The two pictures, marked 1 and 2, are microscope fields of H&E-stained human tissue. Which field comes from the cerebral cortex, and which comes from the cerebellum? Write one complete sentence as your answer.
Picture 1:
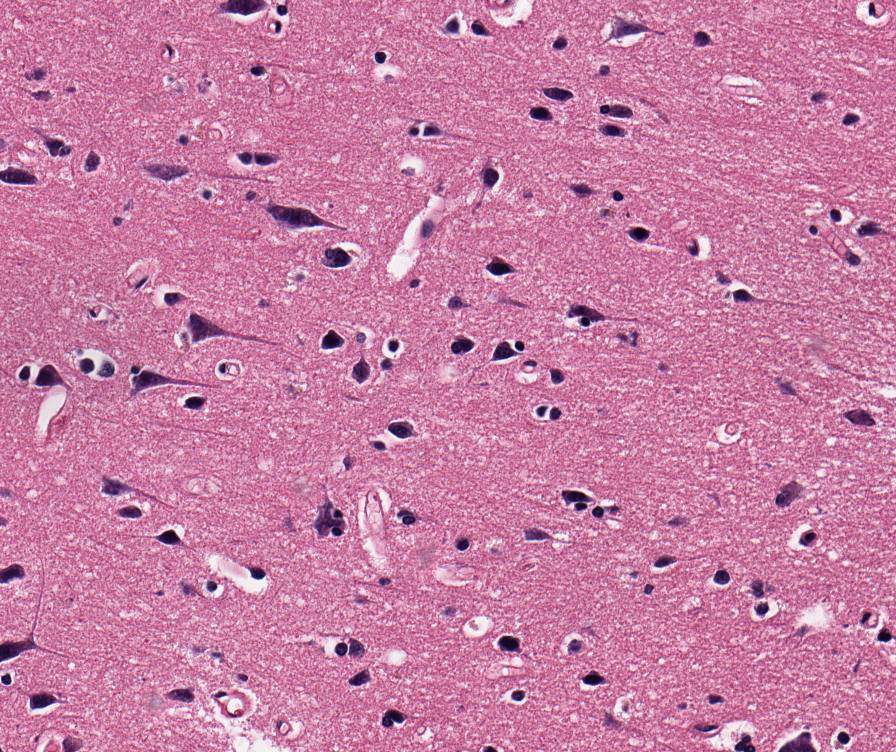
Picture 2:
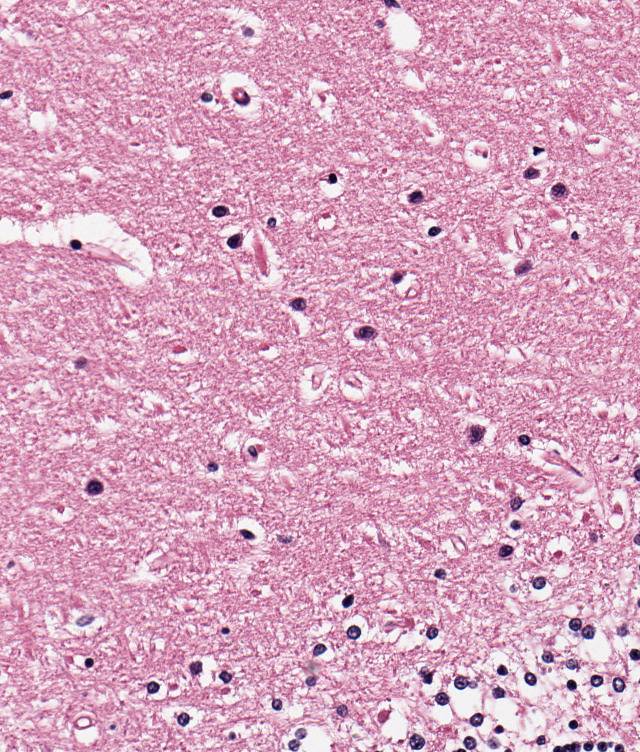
Picture 1 comes from the cerebral cortex; picture 2 comes from the cerebellum.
